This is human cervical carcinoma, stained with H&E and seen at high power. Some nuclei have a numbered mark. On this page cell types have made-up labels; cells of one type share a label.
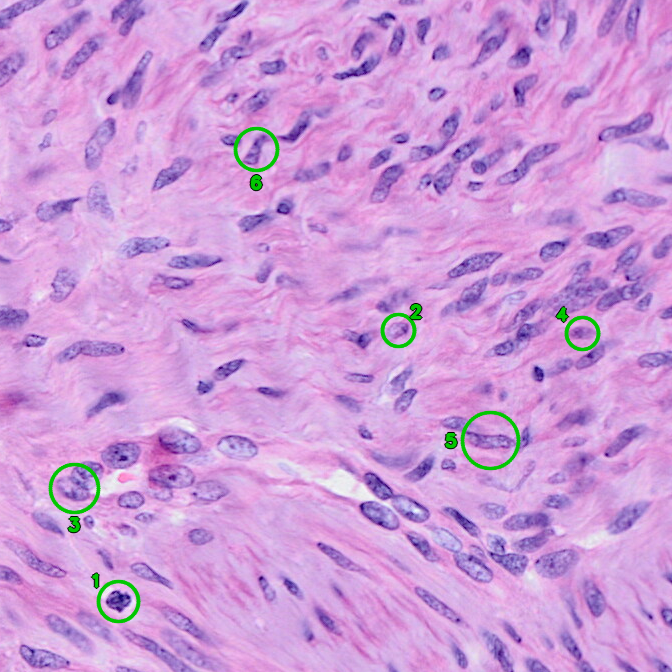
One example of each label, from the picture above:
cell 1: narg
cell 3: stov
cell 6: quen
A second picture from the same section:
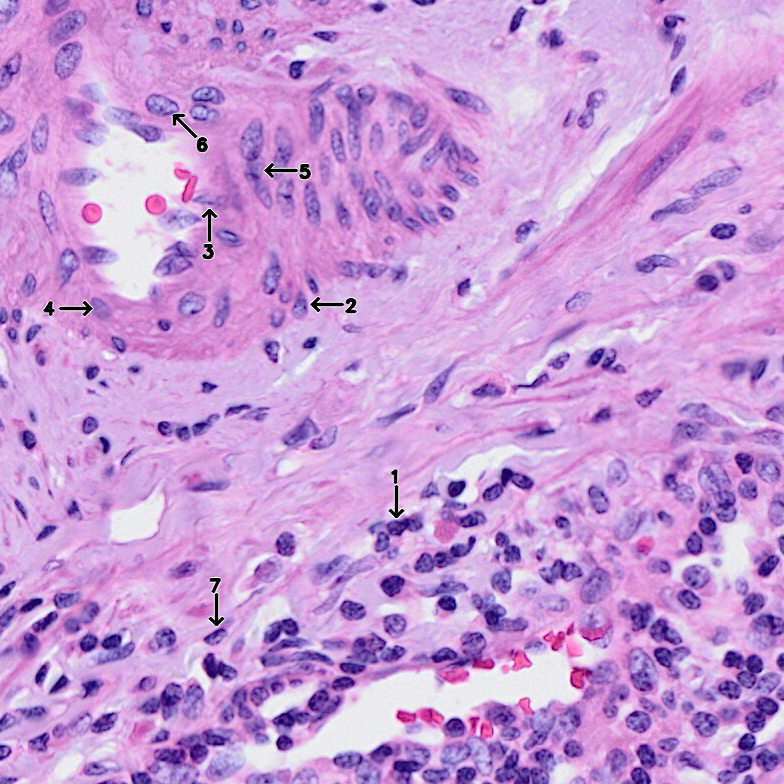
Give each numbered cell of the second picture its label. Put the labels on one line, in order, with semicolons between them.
narg; quen; stov; quen; quen; quen; narg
